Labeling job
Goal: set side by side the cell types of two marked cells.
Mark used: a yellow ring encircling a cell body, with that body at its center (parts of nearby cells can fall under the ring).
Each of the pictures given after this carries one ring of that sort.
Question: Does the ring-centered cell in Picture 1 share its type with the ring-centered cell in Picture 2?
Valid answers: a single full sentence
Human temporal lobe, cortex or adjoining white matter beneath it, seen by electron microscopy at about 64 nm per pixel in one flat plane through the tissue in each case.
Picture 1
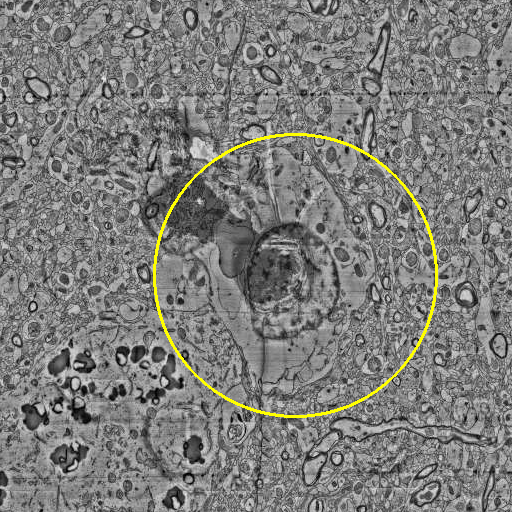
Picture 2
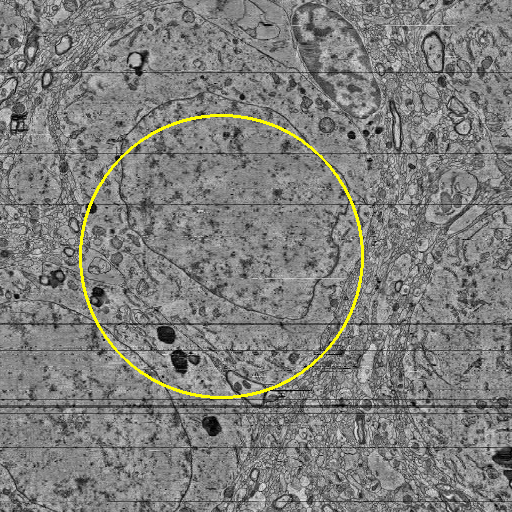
No, in Pictures 1 and 2 the cells at the ring centers have separate types.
